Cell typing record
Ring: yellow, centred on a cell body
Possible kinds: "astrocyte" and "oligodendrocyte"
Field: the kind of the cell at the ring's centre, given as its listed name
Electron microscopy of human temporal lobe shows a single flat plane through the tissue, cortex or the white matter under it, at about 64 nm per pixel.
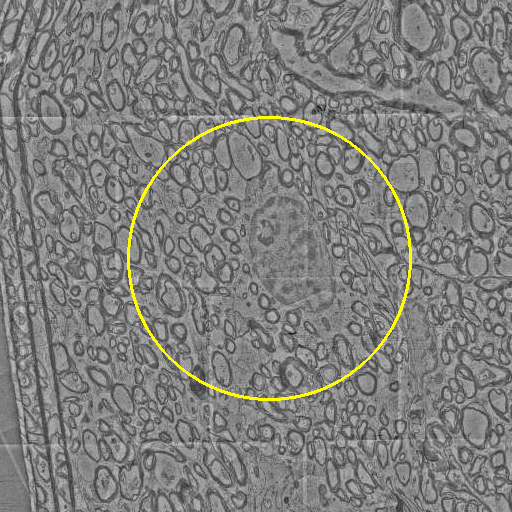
oligodendrocyte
